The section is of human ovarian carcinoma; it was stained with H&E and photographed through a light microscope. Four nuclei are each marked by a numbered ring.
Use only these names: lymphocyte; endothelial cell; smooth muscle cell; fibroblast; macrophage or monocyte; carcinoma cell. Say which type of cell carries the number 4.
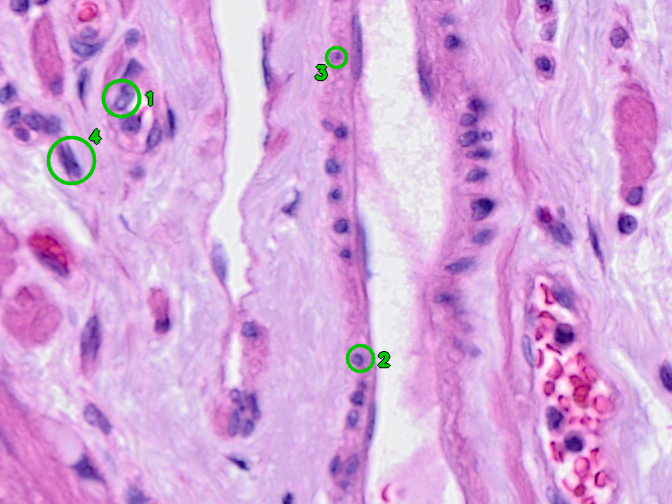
fibroblast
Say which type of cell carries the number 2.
smooth muscle cell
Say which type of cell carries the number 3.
smooth muscle cell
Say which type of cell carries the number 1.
endothelial cell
